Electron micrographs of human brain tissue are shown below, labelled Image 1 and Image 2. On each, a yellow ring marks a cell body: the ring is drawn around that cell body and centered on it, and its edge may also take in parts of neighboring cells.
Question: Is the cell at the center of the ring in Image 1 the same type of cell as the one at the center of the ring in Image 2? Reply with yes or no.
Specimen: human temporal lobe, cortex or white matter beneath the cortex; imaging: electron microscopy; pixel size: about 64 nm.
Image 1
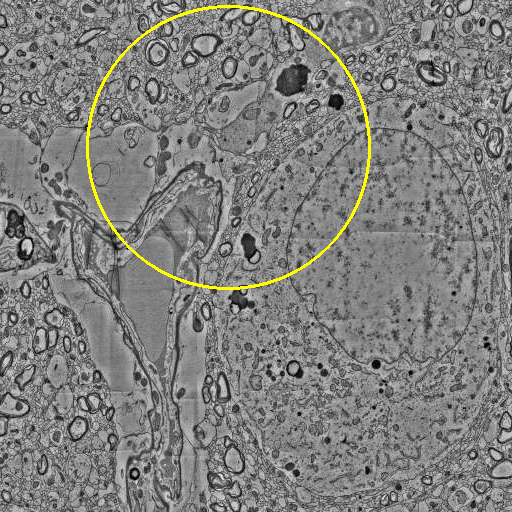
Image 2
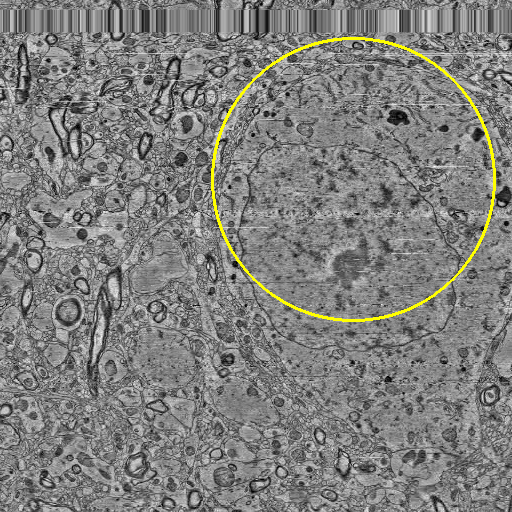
no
